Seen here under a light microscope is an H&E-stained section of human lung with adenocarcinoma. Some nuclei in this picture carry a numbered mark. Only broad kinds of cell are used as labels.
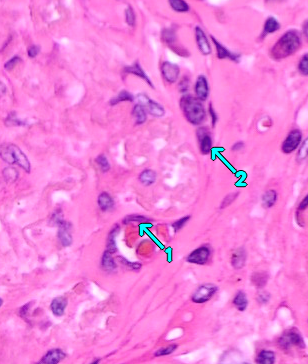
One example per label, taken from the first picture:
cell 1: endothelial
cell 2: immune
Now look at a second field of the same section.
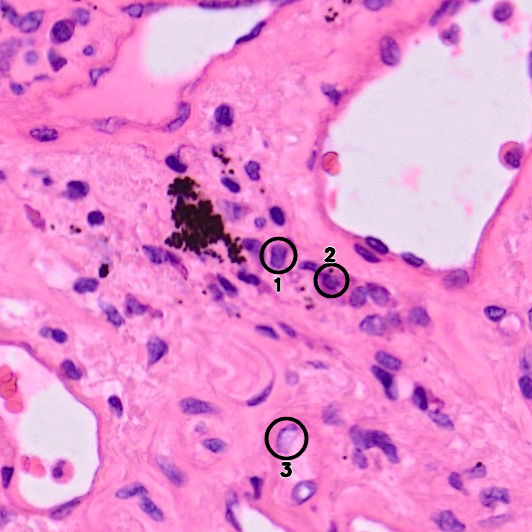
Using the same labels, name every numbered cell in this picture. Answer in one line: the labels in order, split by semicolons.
immune; immune; endothelial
